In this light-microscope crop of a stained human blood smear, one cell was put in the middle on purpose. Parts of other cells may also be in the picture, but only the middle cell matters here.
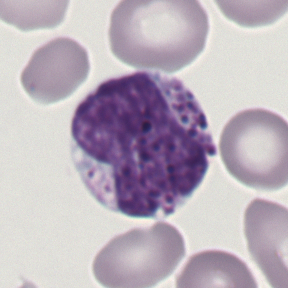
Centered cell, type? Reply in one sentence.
What sits at the centre of this crop is a basophil.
